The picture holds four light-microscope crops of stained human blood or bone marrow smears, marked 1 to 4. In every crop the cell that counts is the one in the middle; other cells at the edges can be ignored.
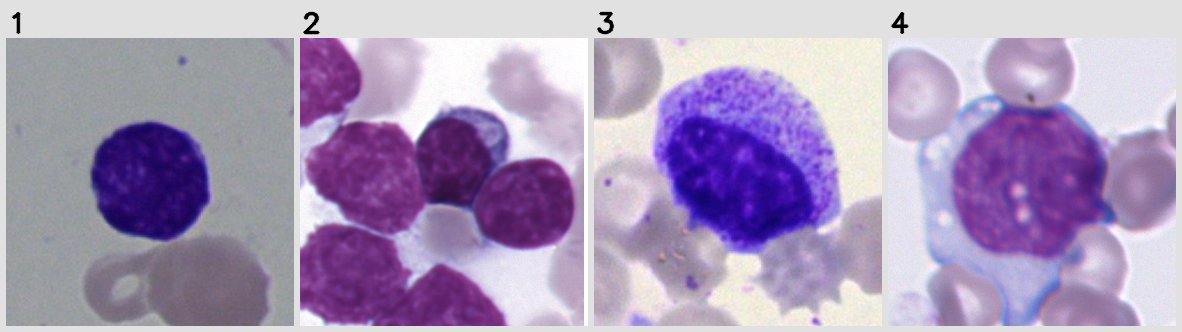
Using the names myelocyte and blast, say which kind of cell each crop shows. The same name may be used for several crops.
1: blast
2: blast
3: myelocyte
4: blast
